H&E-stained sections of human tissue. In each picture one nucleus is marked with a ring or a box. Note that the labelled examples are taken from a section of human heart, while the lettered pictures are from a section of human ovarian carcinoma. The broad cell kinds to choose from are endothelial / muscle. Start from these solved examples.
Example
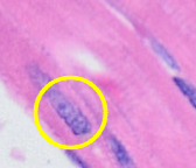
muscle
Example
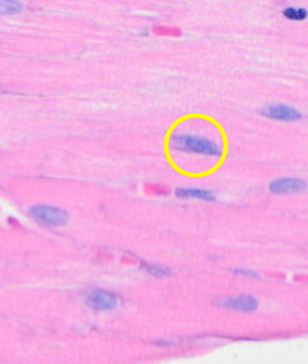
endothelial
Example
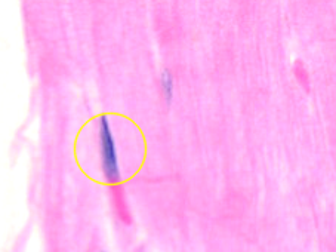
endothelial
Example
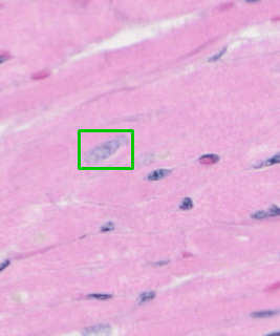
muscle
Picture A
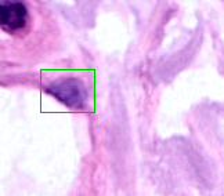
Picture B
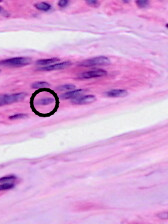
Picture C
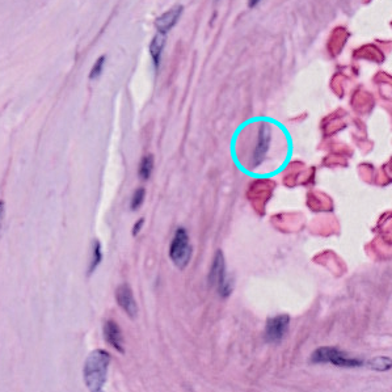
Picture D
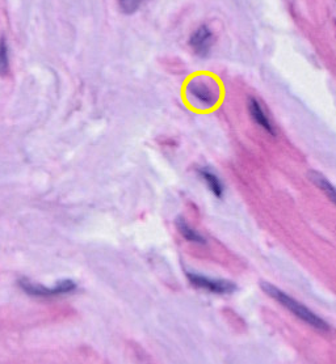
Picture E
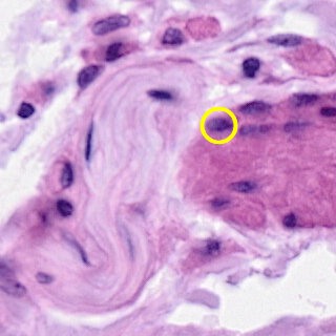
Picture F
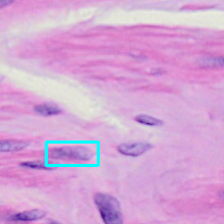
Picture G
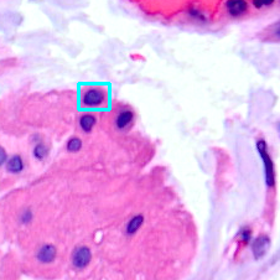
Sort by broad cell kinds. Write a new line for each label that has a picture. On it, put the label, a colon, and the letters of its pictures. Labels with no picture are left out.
endothelial: A, C
muscle: B, D, E, F, G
